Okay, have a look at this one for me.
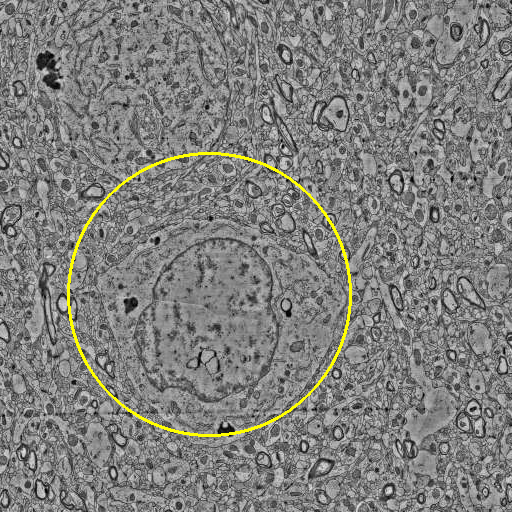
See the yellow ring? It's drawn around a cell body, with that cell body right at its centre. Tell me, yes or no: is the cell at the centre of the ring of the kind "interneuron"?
No, it belongs to another kind.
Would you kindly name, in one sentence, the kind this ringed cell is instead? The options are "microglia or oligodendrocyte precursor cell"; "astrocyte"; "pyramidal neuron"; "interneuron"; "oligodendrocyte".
The cell circled by the yellow ring is a pyramidal neuron.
